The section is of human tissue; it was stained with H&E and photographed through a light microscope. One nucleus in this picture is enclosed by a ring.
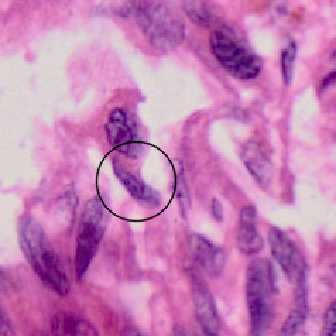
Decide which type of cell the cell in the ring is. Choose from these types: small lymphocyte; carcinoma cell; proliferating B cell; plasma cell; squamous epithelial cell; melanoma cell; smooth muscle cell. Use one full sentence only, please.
Speaking plainly, the cell in the ring is nothing other than a melanoma cell.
